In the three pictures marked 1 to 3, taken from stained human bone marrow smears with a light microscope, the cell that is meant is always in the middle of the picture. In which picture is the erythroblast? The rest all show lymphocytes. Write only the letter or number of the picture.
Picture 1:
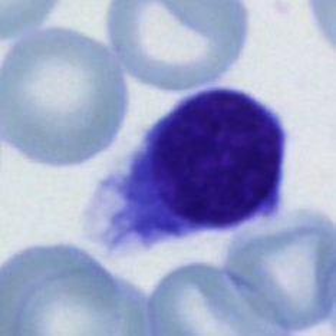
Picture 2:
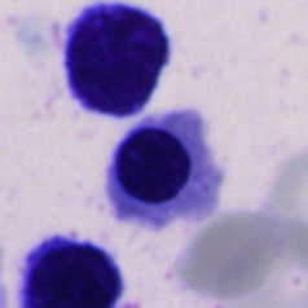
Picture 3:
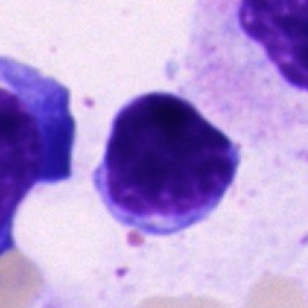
2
